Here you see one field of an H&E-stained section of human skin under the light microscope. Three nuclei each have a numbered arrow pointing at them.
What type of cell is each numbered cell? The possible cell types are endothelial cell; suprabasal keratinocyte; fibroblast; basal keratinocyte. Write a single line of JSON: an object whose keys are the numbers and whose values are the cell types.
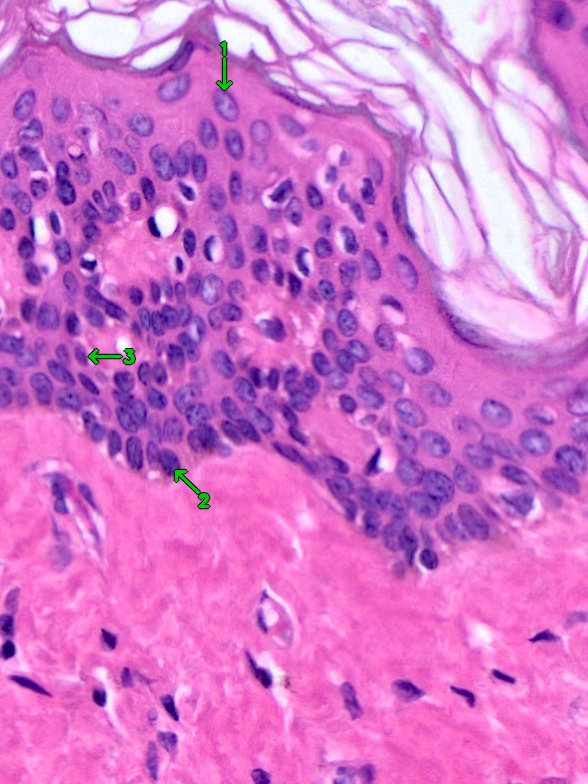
{"1": "suprabasal keratinocyte", "2": "basal keratinocyte", "3": "basal keratinocyte"}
